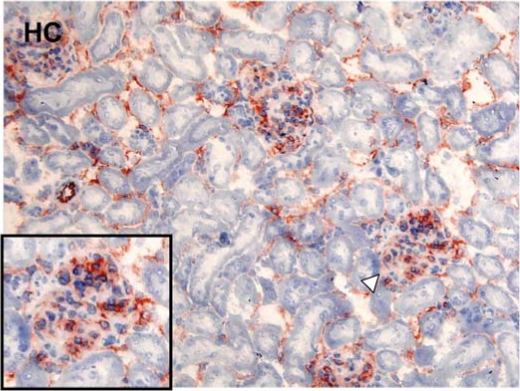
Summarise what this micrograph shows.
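This is renal cortex with several glomeruli lying among closely packed tubules. The glomeruli are round, crowded tufts of small blue nuclei, and within them there is patchy red-brown staining, seen clearly in the enlarged inset. The tubules are lined by cuboidal epithelium with pale cytoplasm and round blue nuclei around small lumina. Thin red-brown lines run in the interstitium between tubules, outlining them. A small vessel toward the left shows a red-stained wall. Some pale pink spaces between tubules are interstitial or vascular spaces.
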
